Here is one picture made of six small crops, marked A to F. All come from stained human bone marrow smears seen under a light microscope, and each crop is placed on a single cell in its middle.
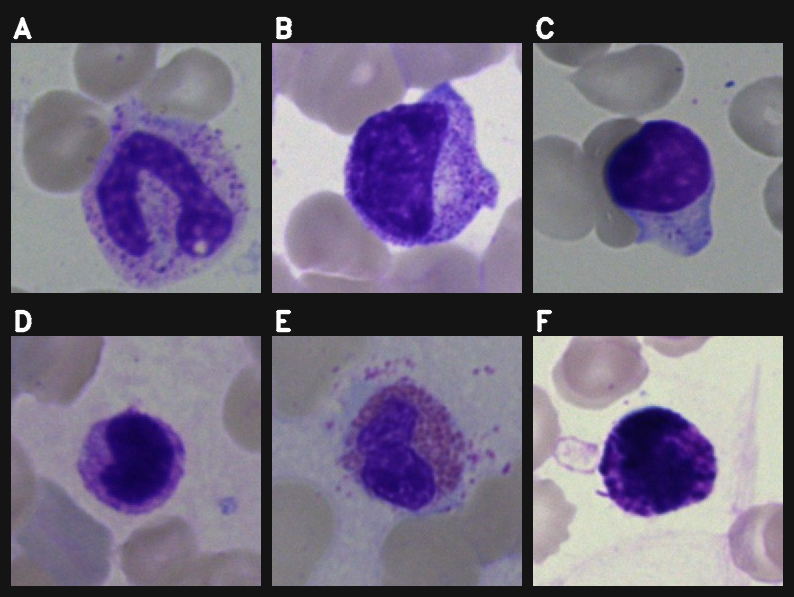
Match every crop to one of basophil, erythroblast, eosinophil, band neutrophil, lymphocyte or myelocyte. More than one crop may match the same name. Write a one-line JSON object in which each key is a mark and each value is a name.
{"A": "band neutrophil", "B": "myelocyte", "C": "lymphocyte", "D": "basophil", "E": "eosinophil", "F": "basophil"}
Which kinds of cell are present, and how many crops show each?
basophil: 2
band neutrophil: 1
myelocyte: 1
lymphocyte: 1
eosinophil: 1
